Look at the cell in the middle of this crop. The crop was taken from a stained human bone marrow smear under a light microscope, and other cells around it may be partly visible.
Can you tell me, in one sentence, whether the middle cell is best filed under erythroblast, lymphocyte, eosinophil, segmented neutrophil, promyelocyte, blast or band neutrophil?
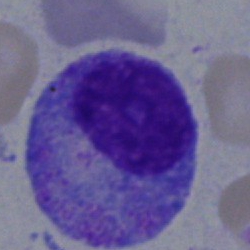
The central cell in this smear crop is a promyelocyte.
